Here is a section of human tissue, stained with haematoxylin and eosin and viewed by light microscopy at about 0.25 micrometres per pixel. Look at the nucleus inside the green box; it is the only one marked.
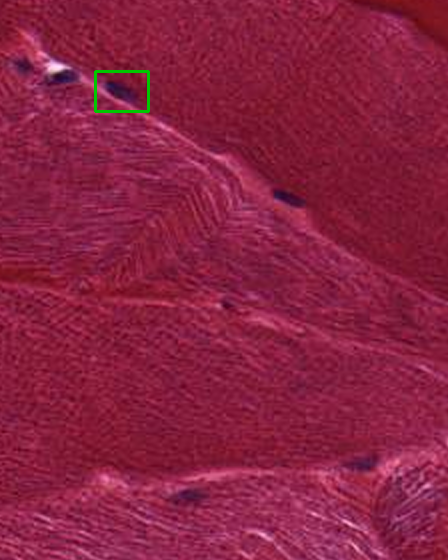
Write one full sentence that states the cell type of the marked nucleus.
The marked nucleus here is the nucleus of a skeletal muscle fibre.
